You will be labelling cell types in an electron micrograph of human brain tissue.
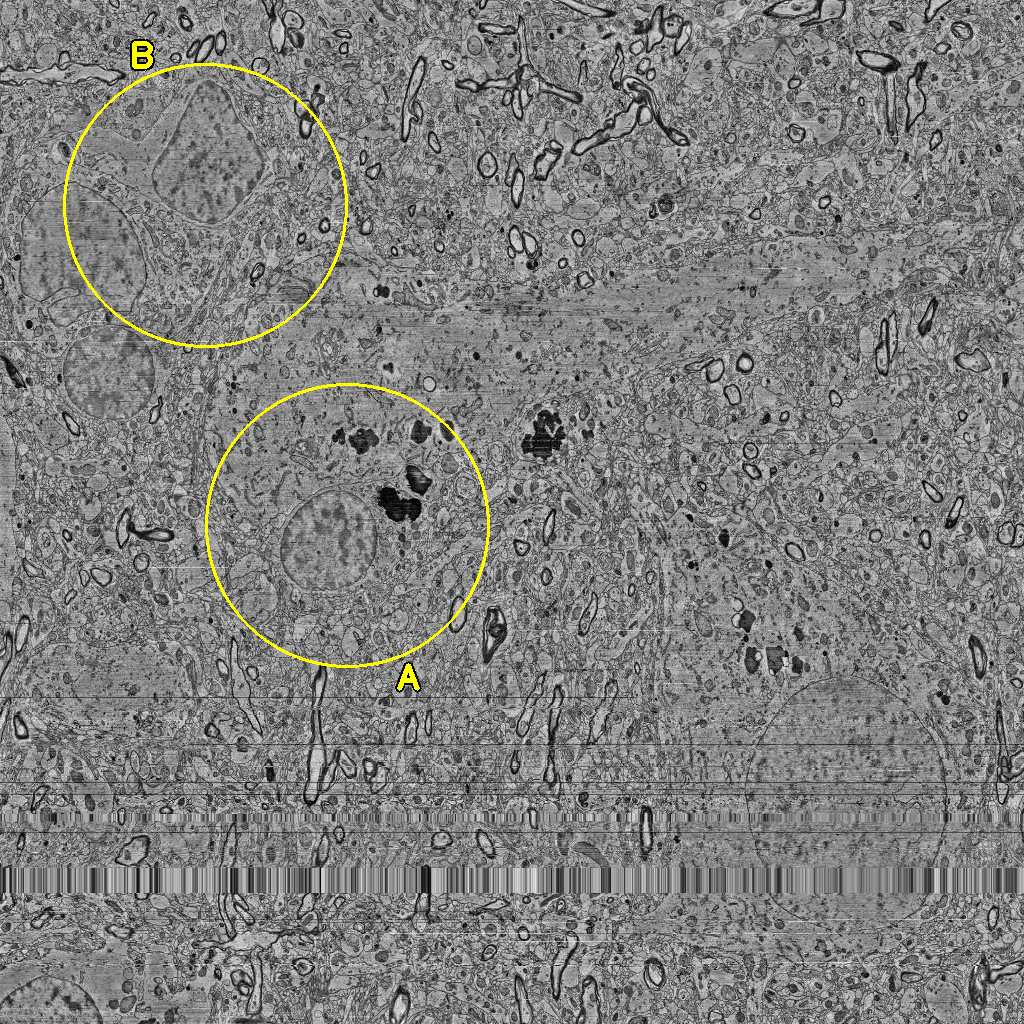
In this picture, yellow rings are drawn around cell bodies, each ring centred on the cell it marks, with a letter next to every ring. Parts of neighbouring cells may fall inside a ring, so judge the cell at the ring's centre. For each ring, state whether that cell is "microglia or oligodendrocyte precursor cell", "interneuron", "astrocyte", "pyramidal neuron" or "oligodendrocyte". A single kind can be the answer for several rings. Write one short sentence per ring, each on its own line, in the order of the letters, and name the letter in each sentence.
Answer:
Ring A contains an oligodendrocyte at its centre.
Ring B contains a microglial cell or oligodendrocyte precursor cell at its centre.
